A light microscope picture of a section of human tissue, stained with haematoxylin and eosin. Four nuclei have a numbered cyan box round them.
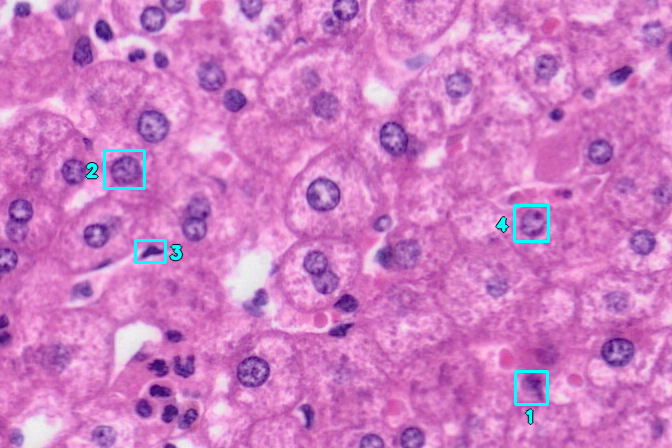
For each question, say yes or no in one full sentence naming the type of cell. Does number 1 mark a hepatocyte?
No, cell 1 is not a hepatocyte. It is an endothelial cell.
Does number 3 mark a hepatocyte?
No, the marked cell 3 is not a hepatocyte, being instead an endothelial cell.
